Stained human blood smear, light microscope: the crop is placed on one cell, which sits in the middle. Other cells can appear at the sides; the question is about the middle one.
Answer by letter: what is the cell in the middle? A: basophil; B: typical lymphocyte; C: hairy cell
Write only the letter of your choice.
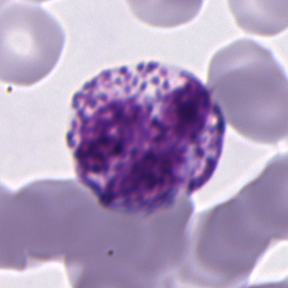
A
